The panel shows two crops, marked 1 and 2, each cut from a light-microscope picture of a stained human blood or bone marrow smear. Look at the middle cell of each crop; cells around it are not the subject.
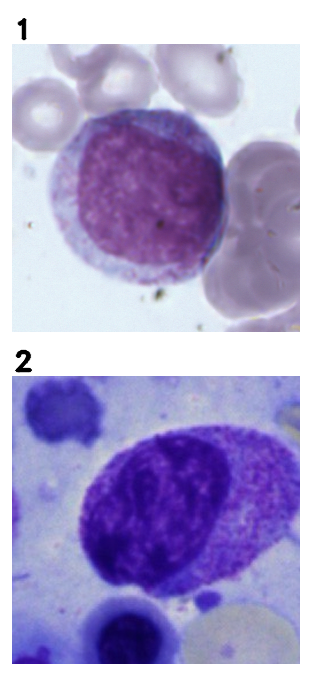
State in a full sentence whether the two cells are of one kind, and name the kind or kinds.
No, crop 2 holds a myelocyte, while crop 1 holds a promyelocyte.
